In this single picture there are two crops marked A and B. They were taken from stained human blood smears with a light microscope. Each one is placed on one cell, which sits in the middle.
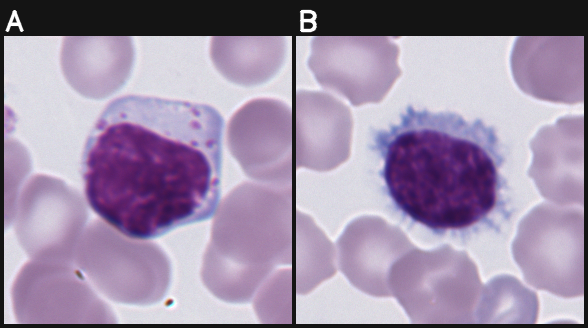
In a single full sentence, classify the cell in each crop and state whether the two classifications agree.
No, crop B shows a hairy cell, and crop A shows a large granular lymphocyte.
